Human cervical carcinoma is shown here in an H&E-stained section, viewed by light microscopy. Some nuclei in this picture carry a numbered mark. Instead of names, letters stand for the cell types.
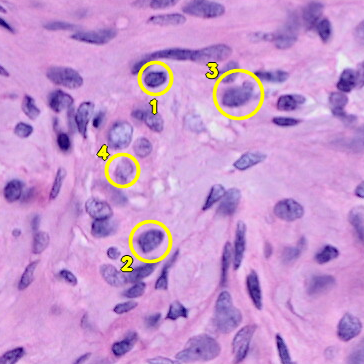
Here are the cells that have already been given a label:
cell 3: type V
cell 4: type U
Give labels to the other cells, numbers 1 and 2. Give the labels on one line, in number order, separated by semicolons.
type V; type V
